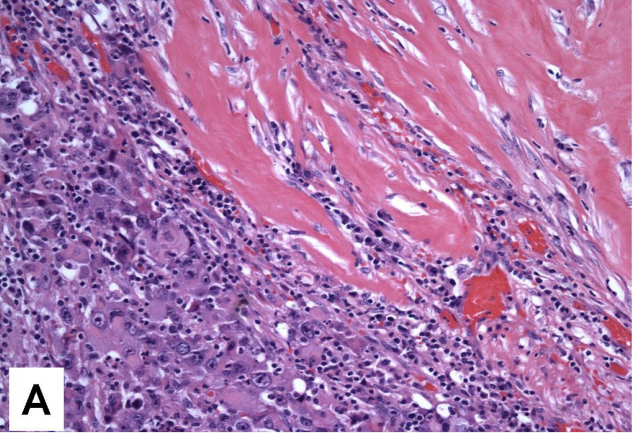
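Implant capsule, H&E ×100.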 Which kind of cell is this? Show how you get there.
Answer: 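Large cells with variable nuclei fill the lower left of the panel. A band of dense pink fibrous tissue runs diagonally across the upper right. The large cells lie packed together in a sheet beside the fibrous band.
Conclusion: Pleomorphic large cells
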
